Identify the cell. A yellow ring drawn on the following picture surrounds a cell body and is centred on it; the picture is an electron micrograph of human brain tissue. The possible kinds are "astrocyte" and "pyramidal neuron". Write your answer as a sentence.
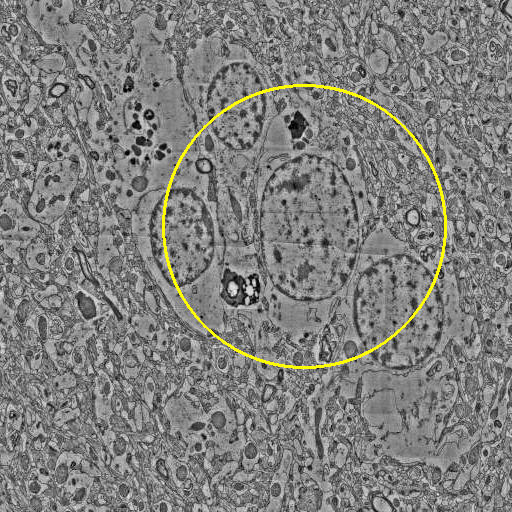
The cell identified by the ring is an astrocyte.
